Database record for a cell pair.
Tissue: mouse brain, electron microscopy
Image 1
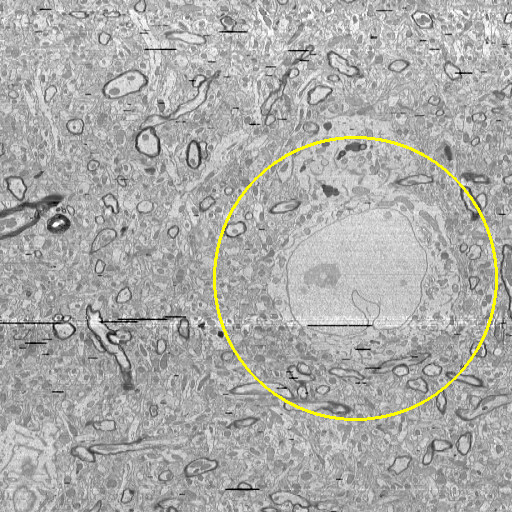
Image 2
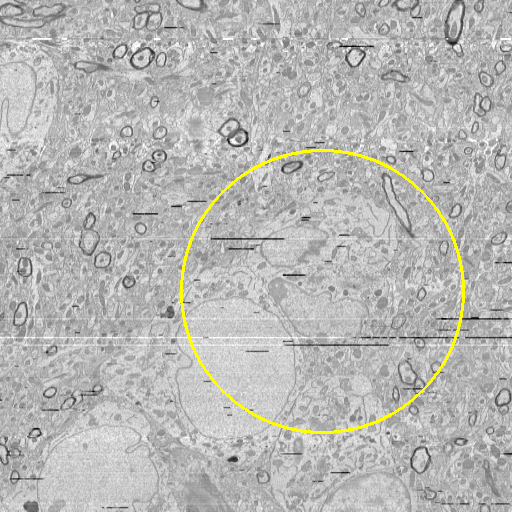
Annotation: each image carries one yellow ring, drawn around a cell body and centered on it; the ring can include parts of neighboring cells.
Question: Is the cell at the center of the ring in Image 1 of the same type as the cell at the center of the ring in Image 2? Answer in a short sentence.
No, the cells are of two types.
